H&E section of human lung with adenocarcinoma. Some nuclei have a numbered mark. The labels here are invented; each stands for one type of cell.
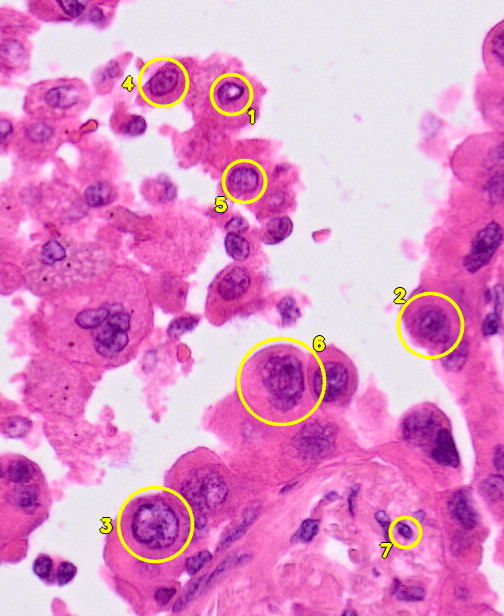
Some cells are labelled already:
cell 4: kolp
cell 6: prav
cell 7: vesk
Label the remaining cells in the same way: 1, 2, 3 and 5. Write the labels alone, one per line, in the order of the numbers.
kolp
prav
prav
kolp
